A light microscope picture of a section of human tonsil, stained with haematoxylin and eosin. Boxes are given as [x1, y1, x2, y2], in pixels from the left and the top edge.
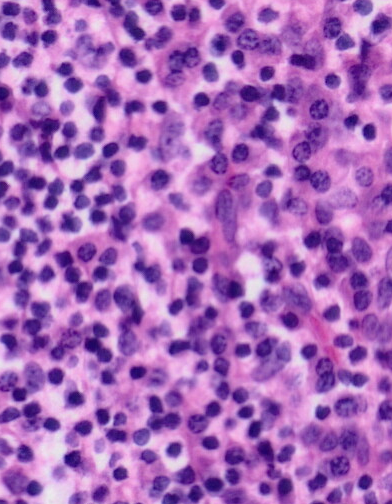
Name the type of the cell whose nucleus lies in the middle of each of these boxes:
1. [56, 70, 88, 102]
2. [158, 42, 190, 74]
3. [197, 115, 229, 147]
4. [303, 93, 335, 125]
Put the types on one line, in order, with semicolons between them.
small lymphocyte; plasma cell; plasma cell; plasma cell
